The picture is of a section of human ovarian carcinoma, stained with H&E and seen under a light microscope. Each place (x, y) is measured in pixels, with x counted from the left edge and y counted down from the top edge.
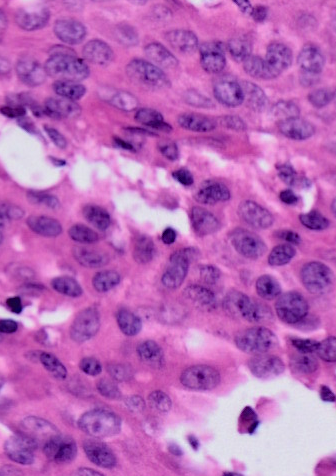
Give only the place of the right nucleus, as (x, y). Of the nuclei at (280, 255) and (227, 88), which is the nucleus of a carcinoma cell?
(227, 88)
